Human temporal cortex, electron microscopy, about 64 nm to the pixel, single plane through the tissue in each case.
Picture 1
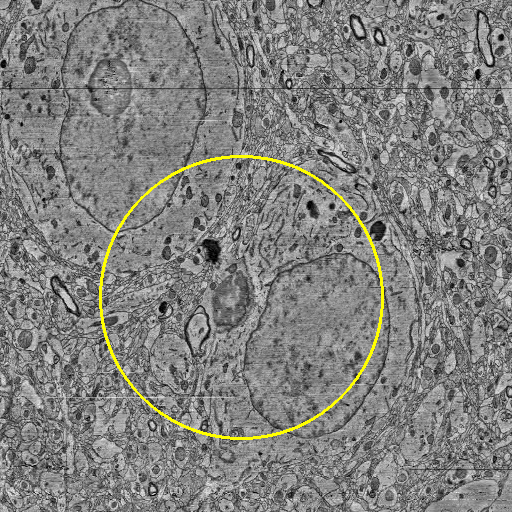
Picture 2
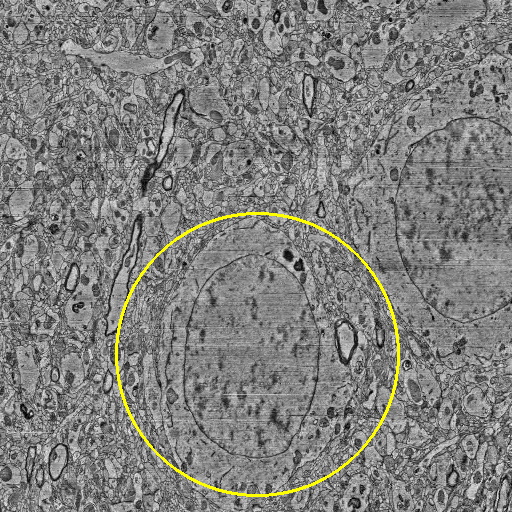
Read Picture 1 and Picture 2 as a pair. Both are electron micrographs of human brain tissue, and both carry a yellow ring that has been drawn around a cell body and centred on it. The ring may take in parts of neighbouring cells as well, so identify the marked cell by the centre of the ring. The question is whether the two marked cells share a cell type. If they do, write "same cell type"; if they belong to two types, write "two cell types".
two cell types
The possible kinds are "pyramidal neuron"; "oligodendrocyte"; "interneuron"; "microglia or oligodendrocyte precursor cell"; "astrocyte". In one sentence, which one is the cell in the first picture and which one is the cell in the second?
The cell ringed in the second picture is a pyramidal neuron, whereas the one ringed in the first is an oligodendrocyte.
